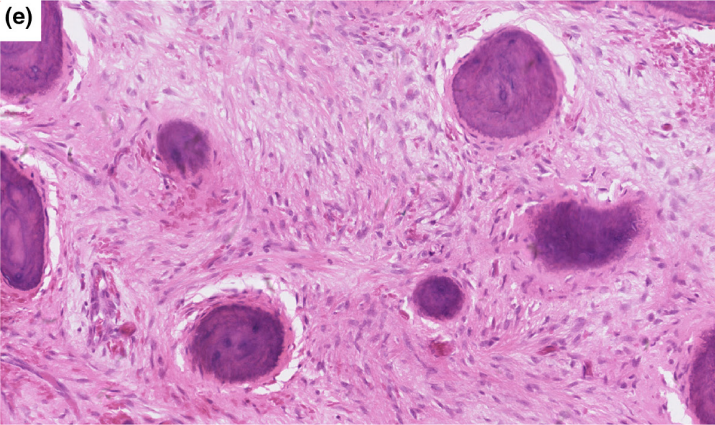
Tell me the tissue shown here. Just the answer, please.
Fibroblastic stroma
